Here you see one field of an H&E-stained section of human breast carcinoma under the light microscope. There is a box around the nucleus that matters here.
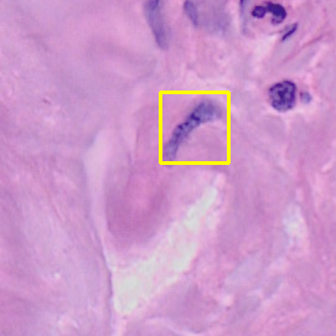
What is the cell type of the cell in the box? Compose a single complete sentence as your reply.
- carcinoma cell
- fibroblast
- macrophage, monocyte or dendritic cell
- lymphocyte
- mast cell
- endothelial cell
Considered by cell type, the cell in the box is a fibroblast.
